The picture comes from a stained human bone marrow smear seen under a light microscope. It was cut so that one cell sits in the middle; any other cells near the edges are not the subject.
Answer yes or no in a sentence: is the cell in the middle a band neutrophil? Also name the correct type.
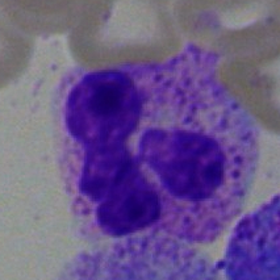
No, calling it a band neutrophil is wrong; the middle cell is a segmented neutrophil.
